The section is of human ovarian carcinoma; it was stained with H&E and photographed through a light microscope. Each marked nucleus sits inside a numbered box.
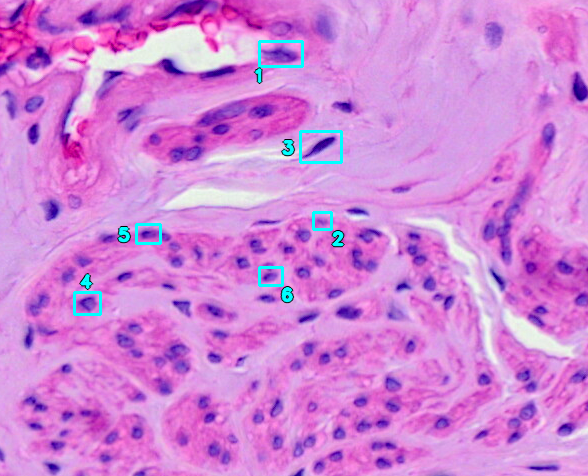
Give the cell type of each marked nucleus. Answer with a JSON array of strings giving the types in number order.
["endothelial cell", "smooth muscle cell", "fibroblast", "smooth muscle cell", "smooth muscle cell", "smooth muscle cell"]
